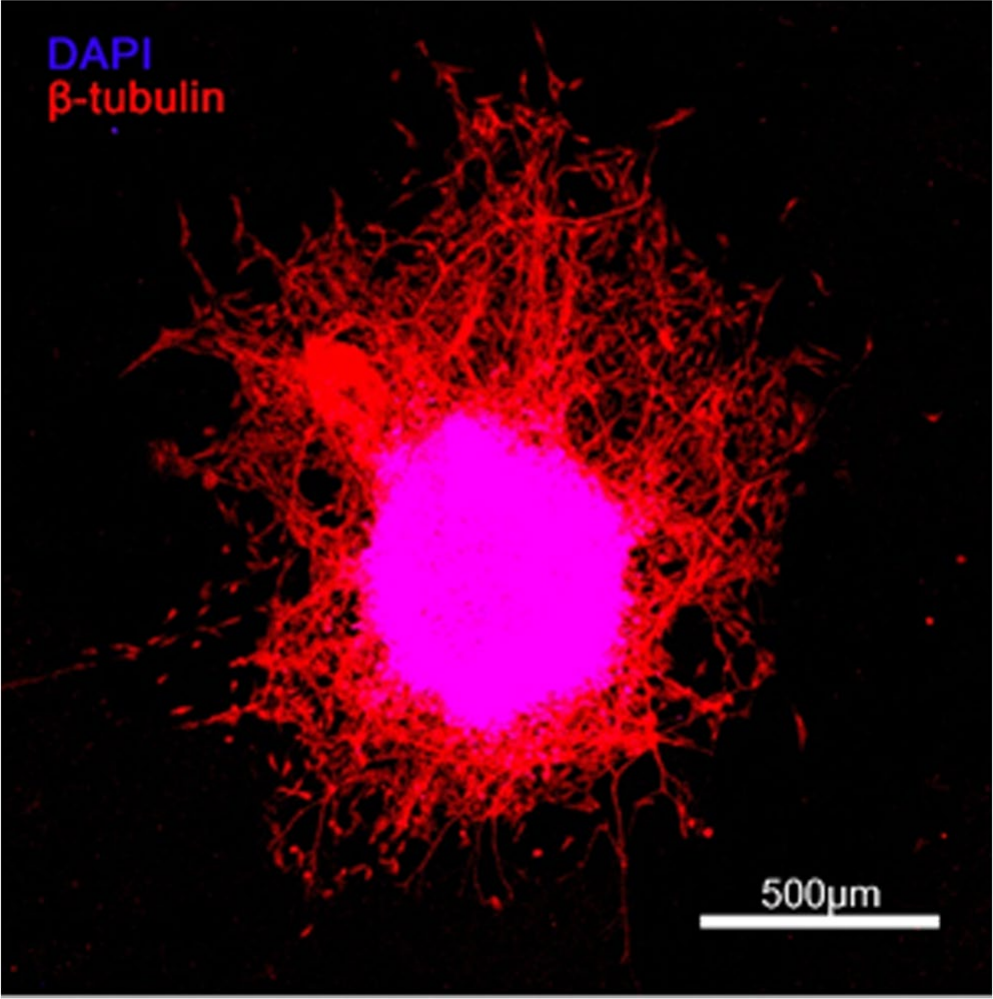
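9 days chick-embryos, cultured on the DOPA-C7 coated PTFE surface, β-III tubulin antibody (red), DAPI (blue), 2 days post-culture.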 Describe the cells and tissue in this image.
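The ganglion forms a compact, roughly oval central mass packed with nuclei. The blue nuclear stain overlaps the red there, so the mass appears bright magenta. From this mass, thin red neurites radiate outward in all directions, branching and crossing into a tangled network that thins toward the periphery, where a few fibres end in small swellings.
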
